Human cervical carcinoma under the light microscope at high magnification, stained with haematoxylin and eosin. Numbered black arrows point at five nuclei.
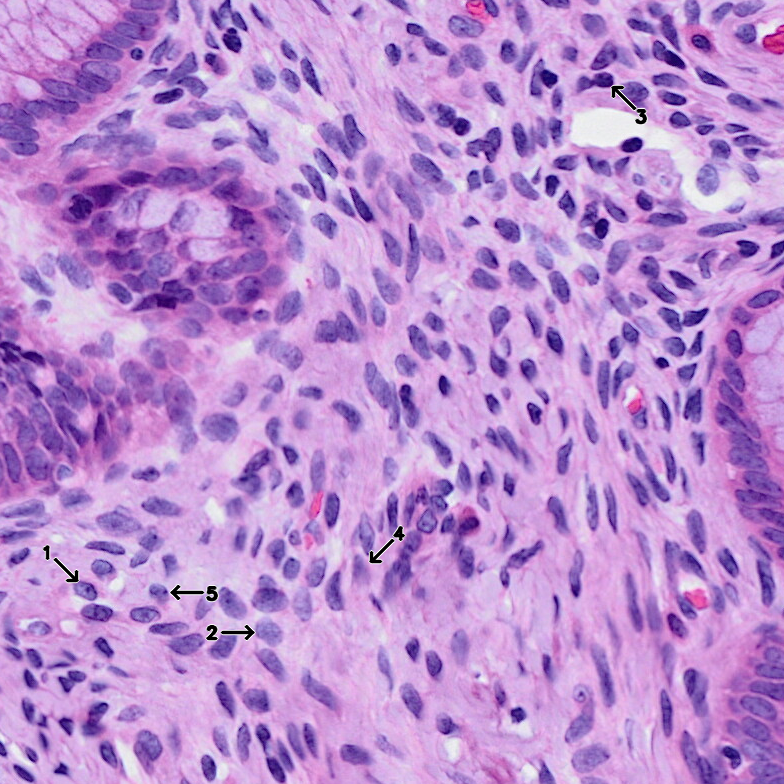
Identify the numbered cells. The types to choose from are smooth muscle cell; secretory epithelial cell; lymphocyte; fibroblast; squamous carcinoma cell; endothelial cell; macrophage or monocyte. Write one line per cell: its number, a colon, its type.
1: endothelial cell
2: fibroblast
3: lymphocyte
4: fibroblast
5: fibroblast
